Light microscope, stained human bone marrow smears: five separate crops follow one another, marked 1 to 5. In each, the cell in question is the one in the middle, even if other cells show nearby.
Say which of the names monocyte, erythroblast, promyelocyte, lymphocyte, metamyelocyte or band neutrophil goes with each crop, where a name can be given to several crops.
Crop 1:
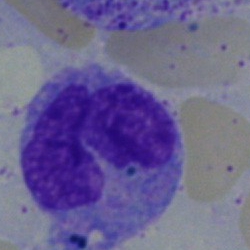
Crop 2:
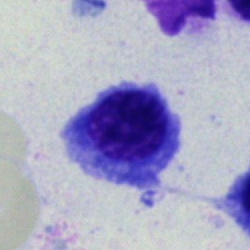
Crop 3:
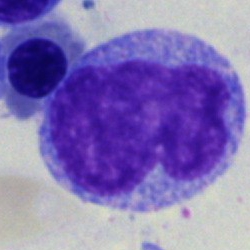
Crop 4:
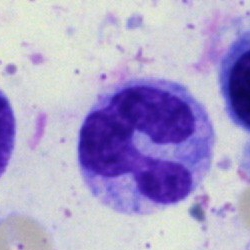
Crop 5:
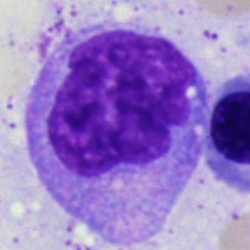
1: monocyte
2: erythroblast
3: monocyte
4: monocyte
5: monocyte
